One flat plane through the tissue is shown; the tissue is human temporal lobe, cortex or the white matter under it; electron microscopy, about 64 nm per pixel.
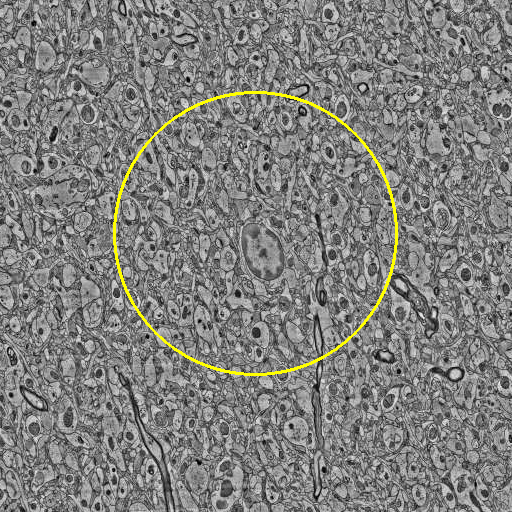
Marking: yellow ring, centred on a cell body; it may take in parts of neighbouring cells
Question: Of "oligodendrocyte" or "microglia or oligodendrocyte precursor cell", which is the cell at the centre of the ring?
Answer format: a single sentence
The ring surrounds the body of a microglial cell or oligodendrocyte precursor cell.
